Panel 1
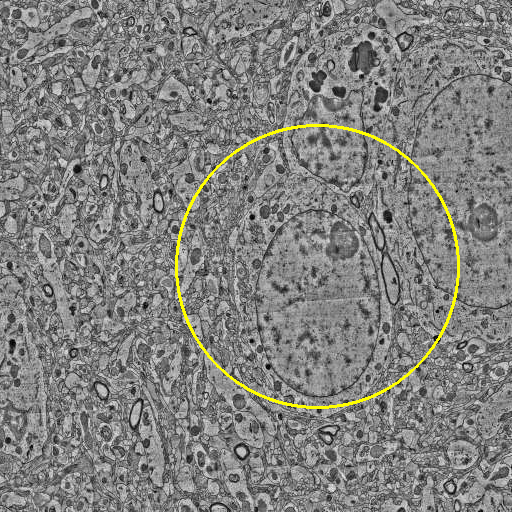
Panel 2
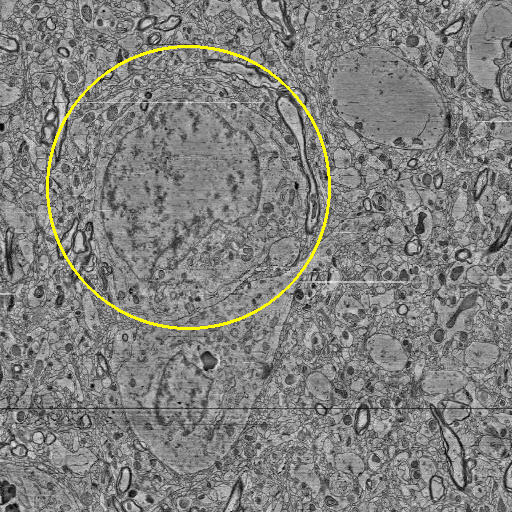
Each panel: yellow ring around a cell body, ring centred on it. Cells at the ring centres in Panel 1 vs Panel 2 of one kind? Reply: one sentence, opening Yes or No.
No, Panel 1 and Panel 2 have cells of two kinds at the ring centres.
